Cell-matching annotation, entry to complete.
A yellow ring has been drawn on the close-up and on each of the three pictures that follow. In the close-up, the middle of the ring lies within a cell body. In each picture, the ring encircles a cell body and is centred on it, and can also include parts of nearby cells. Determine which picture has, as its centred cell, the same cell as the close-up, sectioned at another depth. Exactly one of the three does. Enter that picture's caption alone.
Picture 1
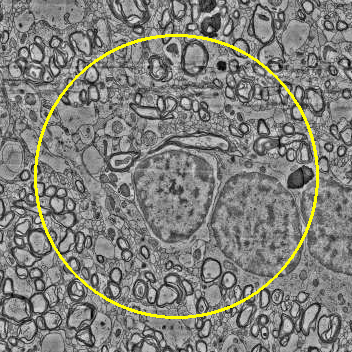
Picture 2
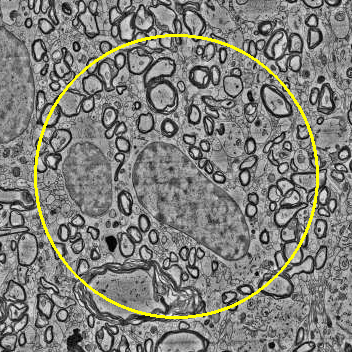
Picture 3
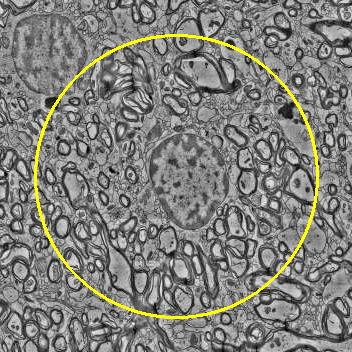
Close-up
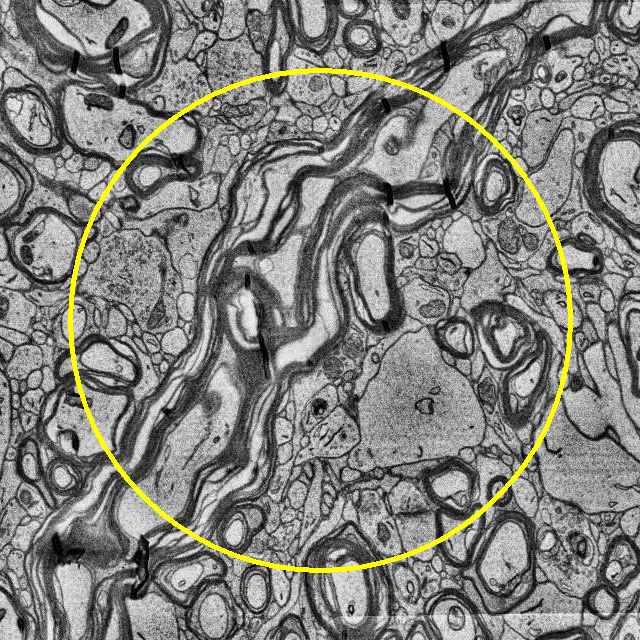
Picture 3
